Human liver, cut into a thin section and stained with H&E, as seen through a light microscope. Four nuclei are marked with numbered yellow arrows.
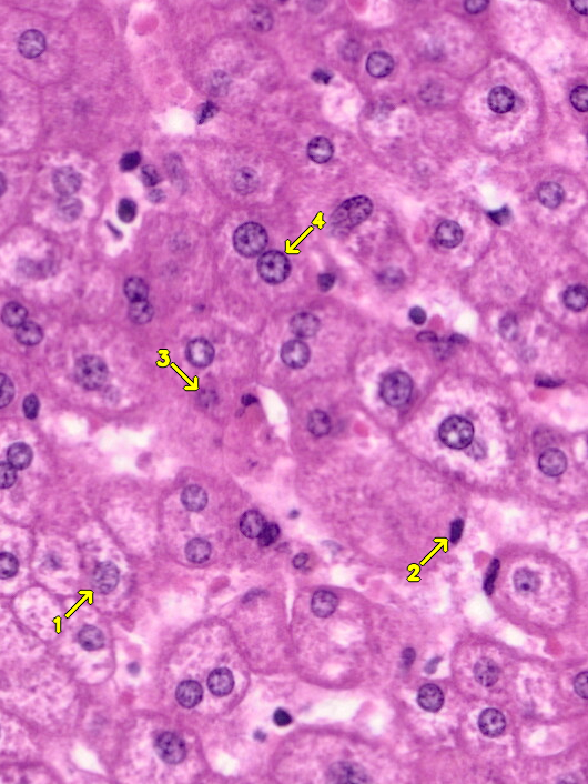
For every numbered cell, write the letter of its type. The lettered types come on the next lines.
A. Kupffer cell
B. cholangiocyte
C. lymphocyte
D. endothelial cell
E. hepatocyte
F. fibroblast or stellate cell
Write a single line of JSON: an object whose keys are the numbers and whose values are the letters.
{"1": "E", "2": "F", "3": "E", "4": "E"}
